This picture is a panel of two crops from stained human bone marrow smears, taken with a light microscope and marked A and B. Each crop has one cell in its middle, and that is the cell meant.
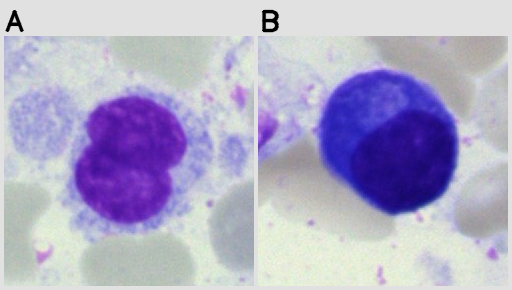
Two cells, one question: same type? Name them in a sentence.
No, crop A shows a hairy cell, and the cell in crop B is a plasma cell.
